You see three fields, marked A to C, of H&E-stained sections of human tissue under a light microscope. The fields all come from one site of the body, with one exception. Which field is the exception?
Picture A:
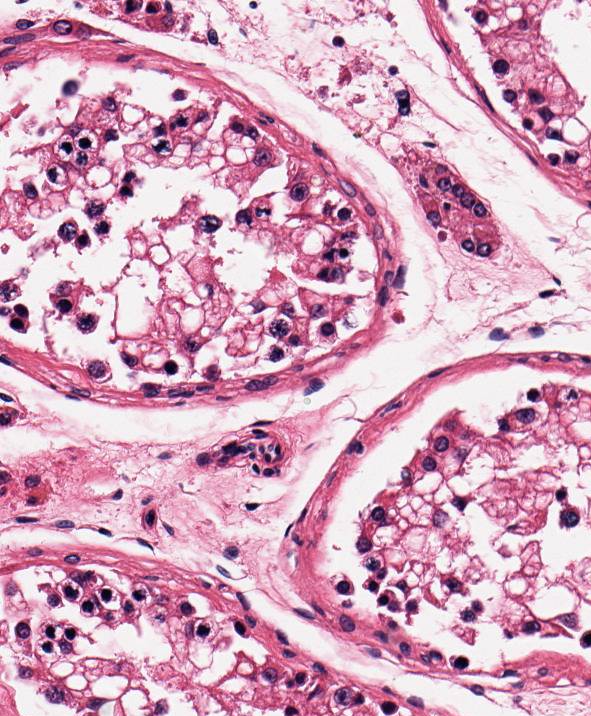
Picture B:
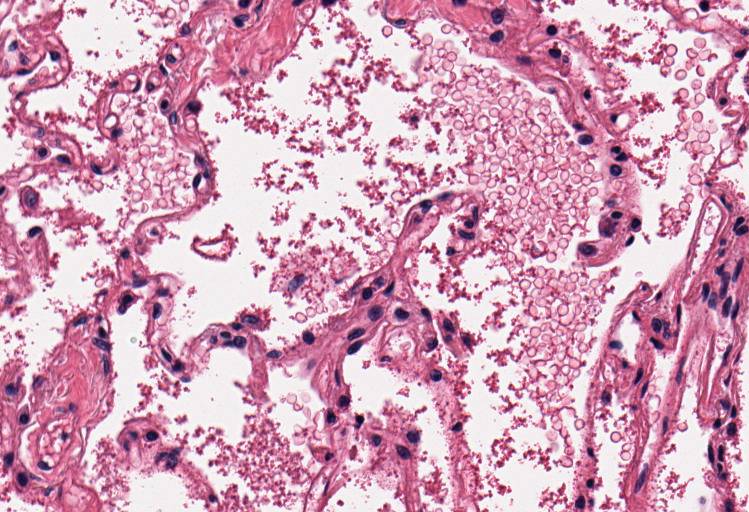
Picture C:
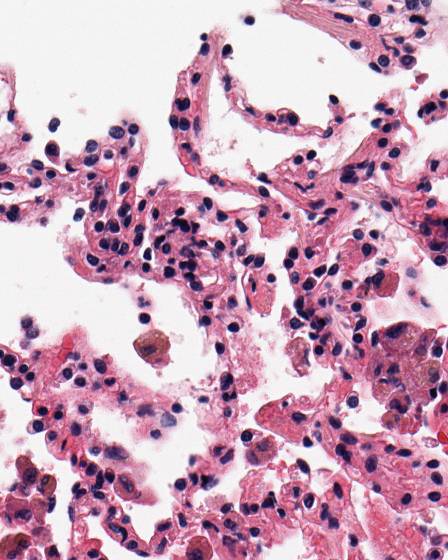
A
